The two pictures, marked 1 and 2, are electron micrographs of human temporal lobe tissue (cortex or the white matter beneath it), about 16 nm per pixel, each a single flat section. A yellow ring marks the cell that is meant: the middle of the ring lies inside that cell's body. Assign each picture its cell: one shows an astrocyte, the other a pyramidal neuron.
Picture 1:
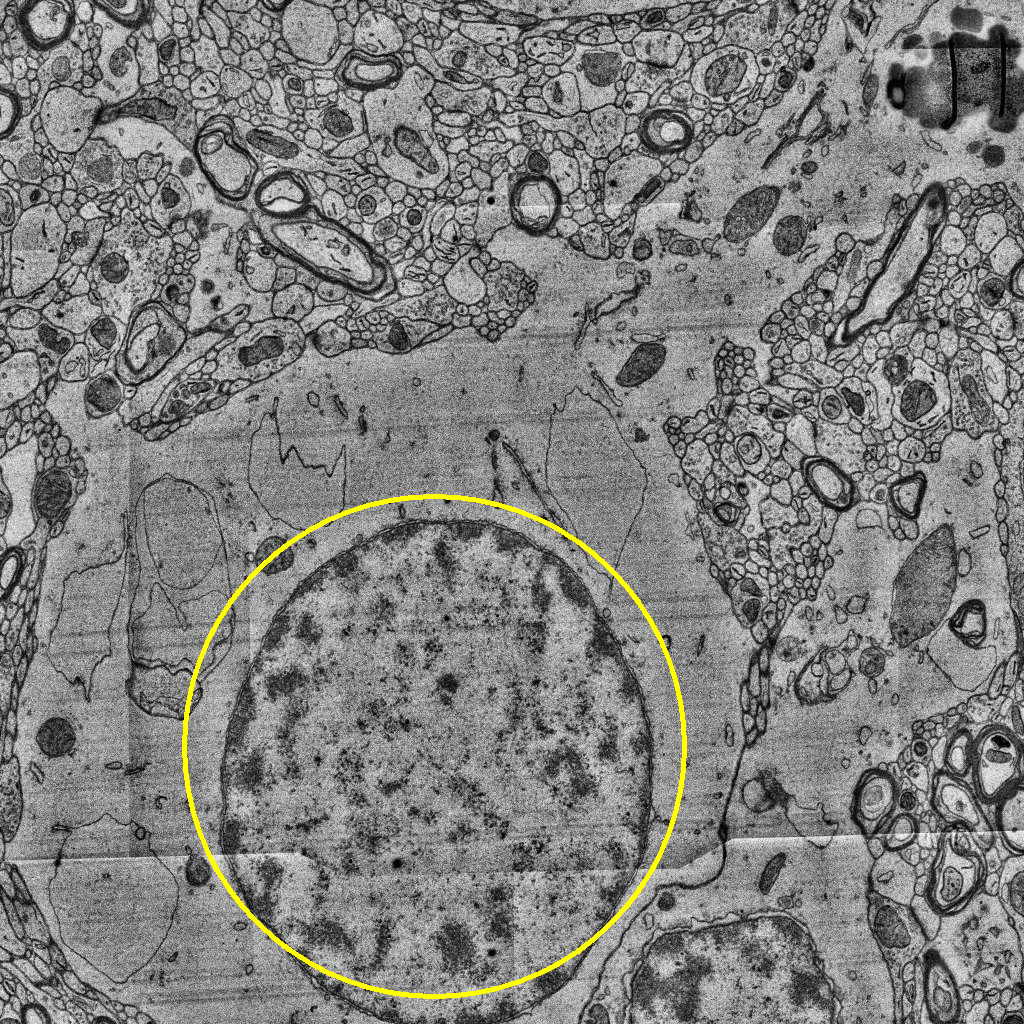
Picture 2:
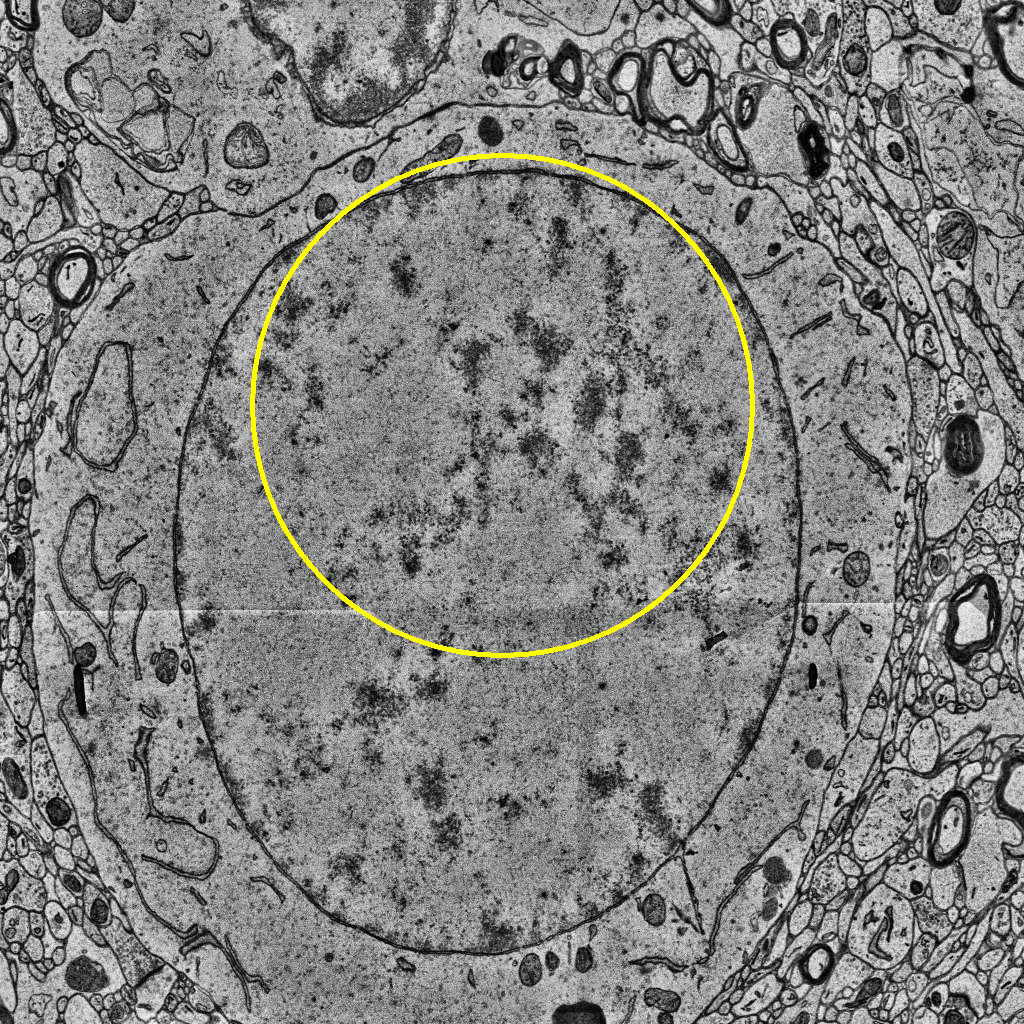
It is picture 1 that shows an astrocyte, and picture 2 that shows a pyramidal neuron.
